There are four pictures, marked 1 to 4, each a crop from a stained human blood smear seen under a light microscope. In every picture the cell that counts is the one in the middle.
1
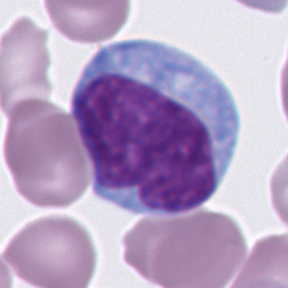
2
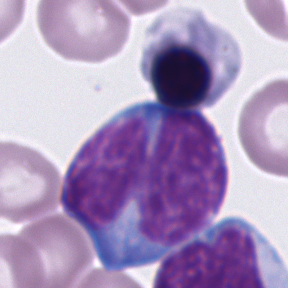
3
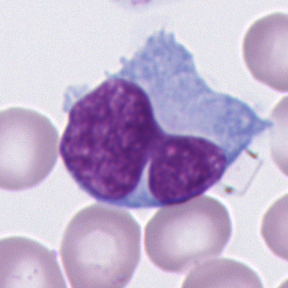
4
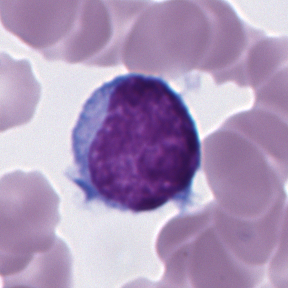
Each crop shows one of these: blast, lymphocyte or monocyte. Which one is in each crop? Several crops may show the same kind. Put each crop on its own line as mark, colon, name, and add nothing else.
1: blast
2: blast
3: blast
4: lymphocyte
